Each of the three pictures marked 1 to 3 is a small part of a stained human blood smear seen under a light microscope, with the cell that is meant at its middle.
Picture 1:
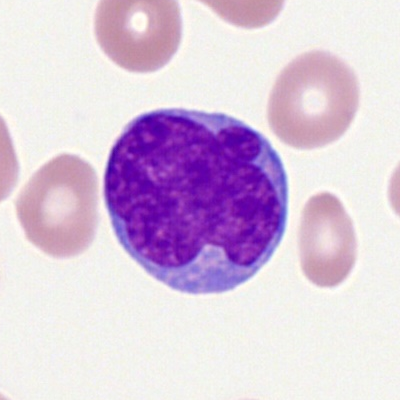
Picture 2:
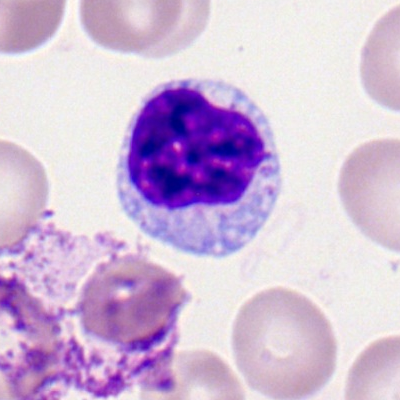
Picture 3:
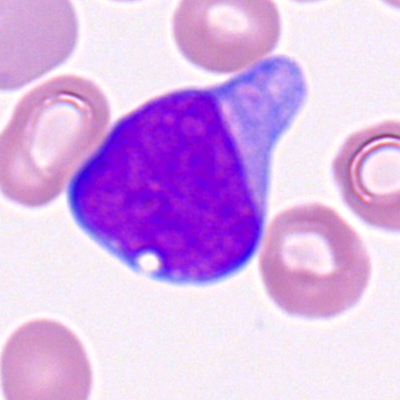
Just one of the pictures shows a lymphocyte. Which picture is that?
2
